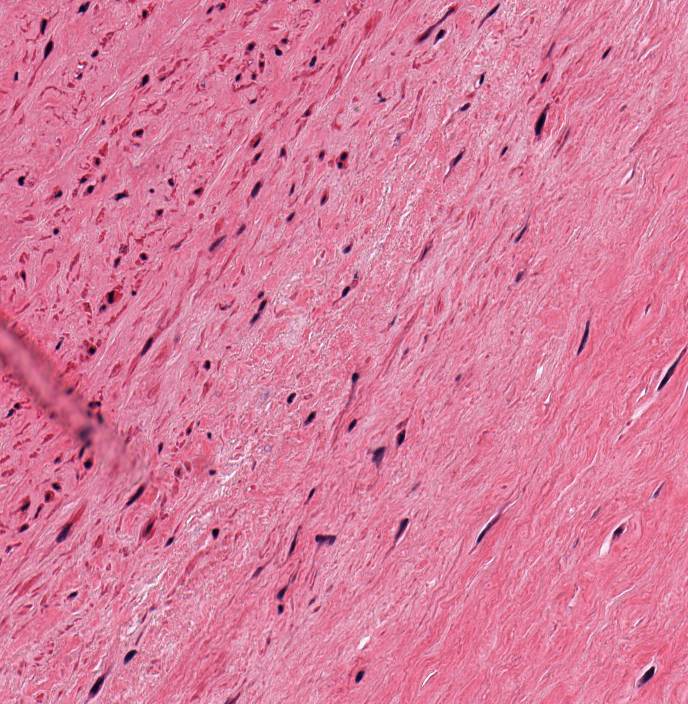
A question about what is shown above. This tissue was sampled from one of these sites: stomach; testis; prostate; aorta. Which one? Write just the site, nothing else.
aorta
